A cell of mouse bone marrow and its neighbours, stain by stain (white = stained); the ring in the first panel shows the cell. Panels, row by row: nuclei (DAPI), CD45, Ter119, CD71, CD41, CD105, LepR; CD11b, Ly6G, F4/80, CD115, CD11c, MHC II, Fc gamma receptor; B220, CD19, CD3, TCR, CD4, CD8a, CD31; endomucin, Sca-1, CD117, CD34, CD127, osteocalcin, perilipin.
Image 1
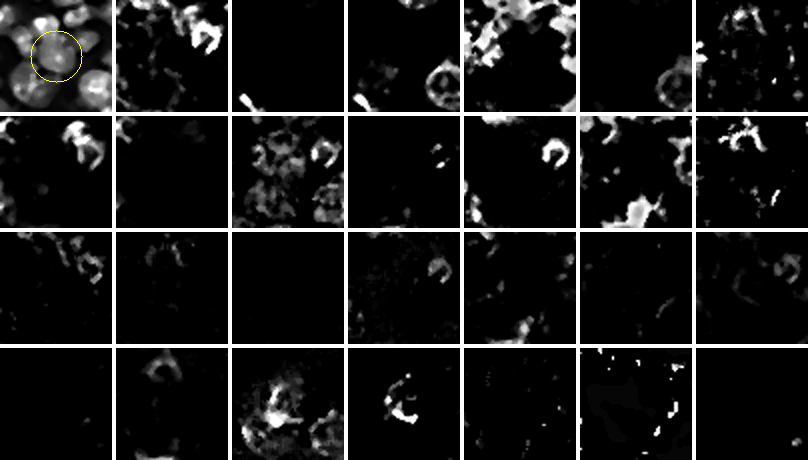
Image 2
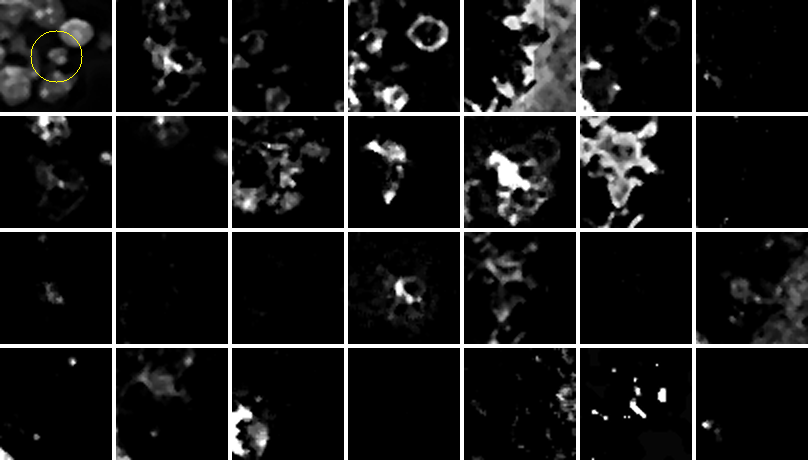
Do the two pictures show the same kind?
No: a common myeloid progenitor, then a conventional dendritic cell.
